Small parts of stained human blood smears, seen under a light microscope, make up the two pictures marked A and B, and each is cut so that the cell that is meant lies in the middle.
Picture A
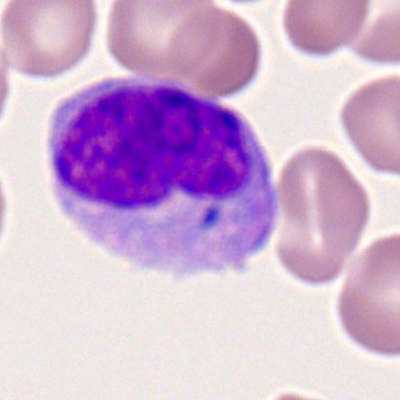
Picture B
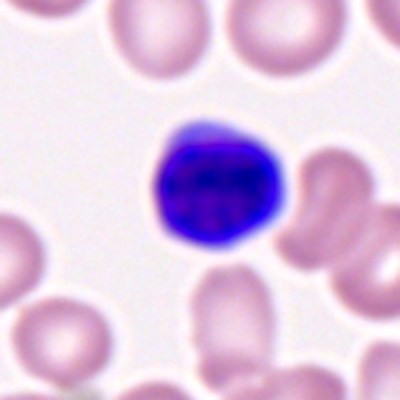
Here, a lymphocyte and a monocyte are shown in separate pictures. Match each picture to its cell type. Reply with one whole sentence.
Picture A is of a monocyte, and picture B is of a lymphocyte.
